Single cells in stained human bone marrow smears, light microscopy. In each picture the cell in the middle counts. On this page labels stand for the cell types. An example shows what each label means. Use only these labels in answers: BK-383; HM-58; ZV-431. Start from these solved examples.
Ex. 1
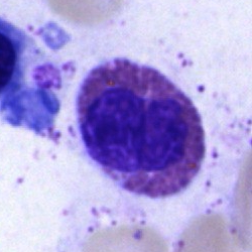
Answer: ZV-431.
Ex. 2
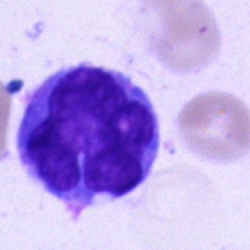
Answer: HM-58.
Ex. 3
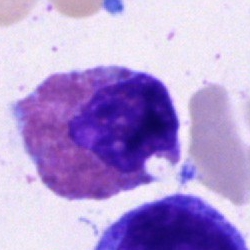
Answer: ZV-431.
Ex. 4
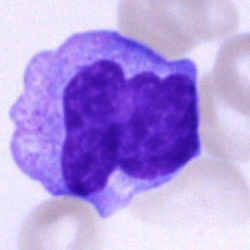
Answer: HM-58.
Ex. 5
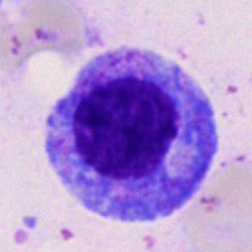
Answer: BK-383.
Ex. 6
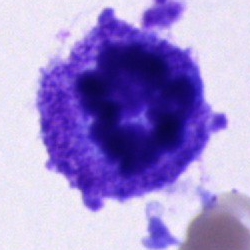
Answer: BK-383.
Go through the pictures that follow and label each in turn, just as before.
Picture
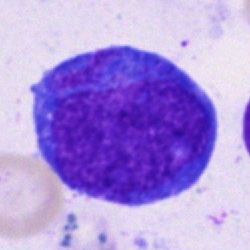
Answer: BK-383.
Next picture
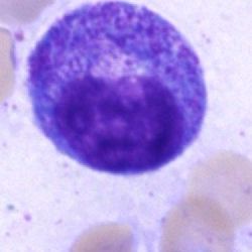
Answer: BK-383.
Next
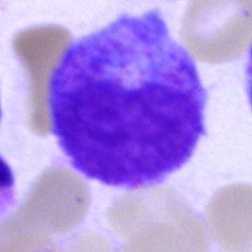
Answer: BK-383.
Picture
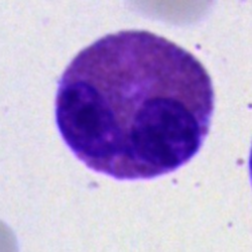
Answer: ZV-431.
